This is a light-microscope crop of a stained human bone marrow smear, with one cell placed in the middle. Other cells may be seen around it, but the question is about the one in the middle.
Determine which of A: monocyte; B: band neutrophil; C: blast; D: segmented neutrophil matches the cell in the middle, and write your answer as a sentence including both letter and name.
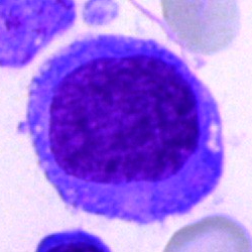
With the cell in the middle being a blast, option C is the correct choice.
